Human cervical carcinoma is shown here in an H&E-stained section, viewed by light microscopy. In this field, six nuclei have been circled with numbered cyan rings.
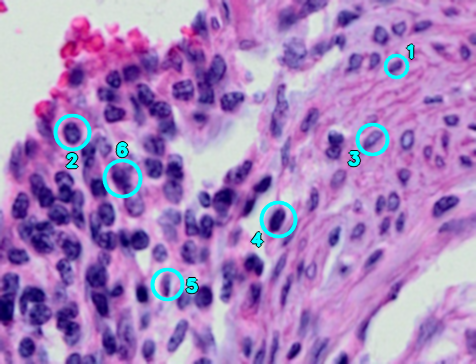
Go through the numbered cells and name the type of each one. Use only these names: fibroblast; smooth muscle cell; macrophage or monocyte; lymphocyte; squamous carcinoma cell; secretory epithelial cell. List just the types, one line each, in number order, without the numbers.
smooth muscle cell
lymphocyte
smooth muscle cell
lymphocyte
lymphocyte
lymphocyte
